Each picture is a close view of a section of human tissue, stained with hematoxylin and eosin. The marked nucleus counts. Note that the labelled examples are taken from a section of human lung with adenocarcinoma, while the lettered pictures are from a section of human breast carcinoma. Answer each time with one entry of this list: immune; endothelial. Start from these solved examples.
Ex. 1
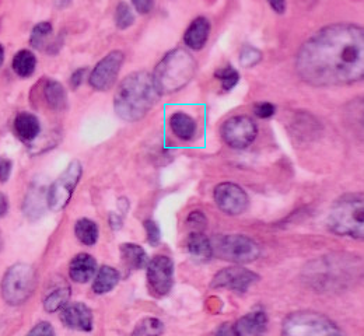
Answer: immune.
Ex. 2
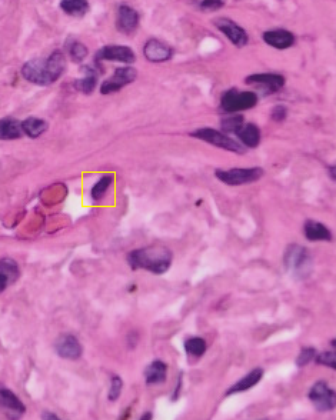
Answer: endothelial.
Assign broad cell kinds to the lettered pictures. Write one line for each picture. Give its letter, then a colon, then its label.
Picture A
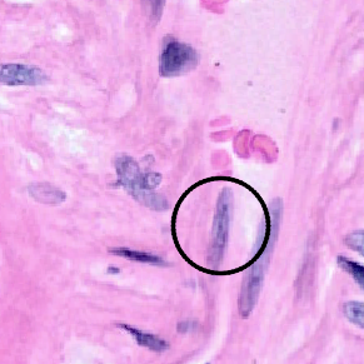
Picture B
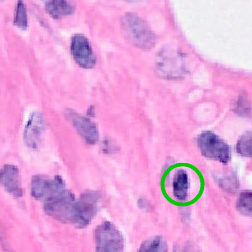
A: endothelial.
B: immune.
